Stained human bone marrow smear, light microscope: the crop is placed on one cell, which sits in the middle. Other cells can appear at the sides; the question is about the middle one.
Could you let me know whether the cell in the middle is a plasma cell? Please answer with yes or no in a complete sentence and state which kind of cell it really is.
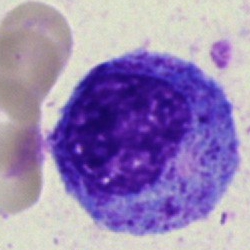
No, it isn't a plasma cell; what sits in the middle is a promyelocyte.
